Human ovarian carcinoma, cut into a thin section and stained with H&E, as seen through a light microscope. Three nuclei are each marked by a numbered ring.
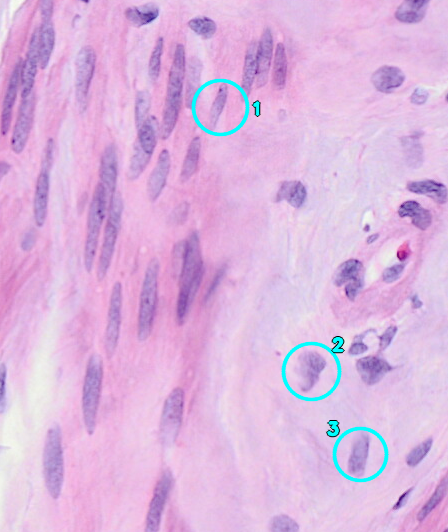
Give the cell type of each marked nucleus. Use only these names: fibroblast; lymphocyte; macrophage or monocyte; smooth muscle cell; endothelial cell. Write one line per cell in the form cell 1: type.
cell 1: smooth muscle cell
cell 2: fibroblast
cell 3: fibroblast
